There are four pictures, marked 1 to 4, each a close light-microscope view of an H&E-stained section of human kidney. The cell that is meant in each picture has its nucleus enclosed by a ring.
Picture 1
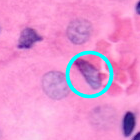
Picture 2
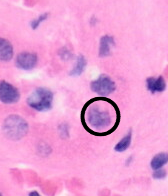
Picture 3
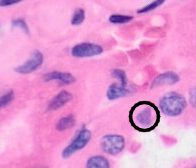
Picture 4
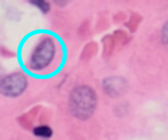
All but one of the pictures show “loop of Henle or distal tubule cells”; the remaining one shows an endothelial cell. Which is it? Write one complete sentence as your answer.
The cell in picture 1 is the endothelial cell.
